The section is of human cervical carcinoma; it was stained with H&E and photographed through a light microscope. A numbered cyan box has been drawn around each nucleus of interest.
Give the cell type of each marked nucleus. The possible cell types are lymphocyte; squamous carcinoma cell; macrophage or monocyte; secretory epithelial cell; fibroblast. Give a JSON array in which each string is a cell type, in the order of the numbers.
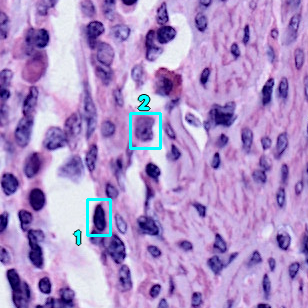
["lymphocyte", "macrophage or monocyte"]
